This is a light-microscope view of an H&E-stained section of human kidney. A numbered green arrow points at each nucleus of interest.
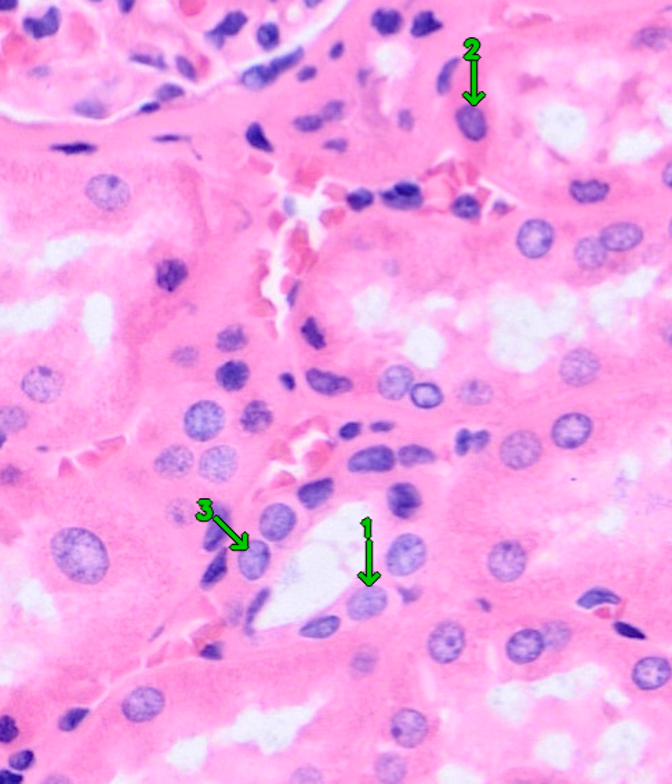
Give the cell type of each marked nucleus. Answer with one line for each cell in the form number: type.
1: collecting duct cell
2: proximal tubule cell
3: collecting duct cell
